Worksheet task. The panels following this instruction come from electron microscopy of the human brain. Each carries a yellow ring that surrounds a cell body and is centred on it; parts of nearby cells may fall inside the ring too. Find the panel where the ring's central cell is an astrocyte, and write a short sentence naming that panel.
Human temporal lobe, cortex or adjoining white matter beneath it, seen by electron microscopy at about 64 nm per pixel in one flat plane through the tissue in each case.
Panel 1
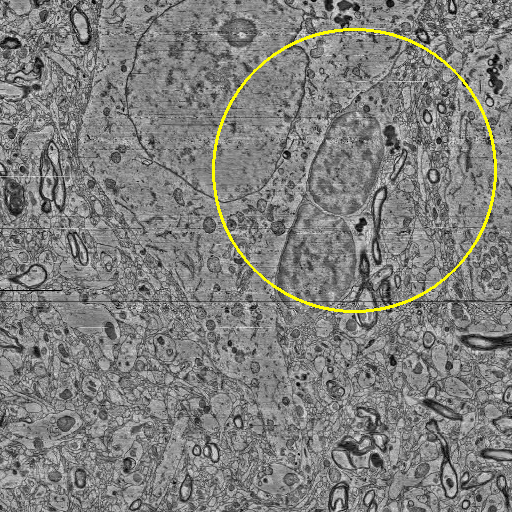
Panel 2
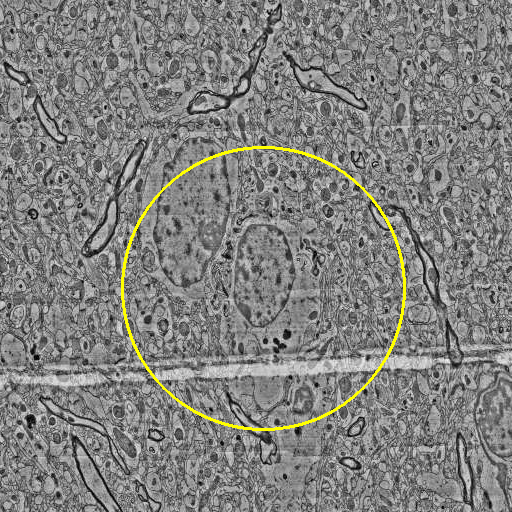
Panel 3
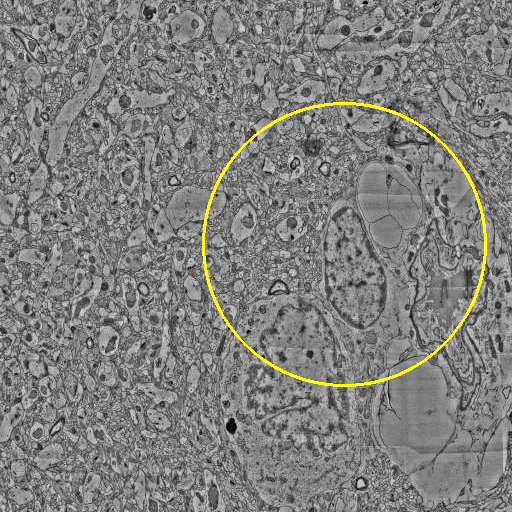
The cell sought is in Panel 2.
